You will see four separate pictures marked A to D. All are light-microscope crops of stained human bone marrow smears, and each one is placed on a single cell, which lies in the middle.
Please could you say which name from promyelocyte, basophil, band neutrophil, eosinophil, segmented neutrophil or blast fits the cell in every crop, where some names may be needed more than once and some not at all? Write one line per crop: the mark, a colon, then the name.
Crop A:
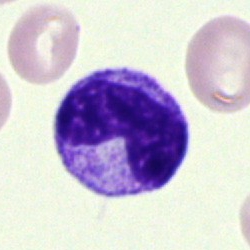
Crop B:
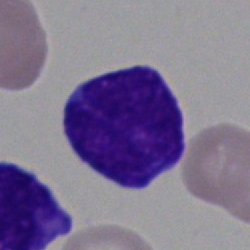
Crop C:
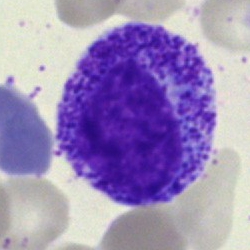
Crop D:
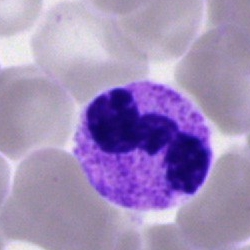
A: band neutrophil
B: blast
C: promyelocyte
D: segmented neutrophil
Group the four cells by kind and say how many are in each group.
band neutrophil: 1
blast: 1
promyelocyte: 1
segmented neutrophil: 1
